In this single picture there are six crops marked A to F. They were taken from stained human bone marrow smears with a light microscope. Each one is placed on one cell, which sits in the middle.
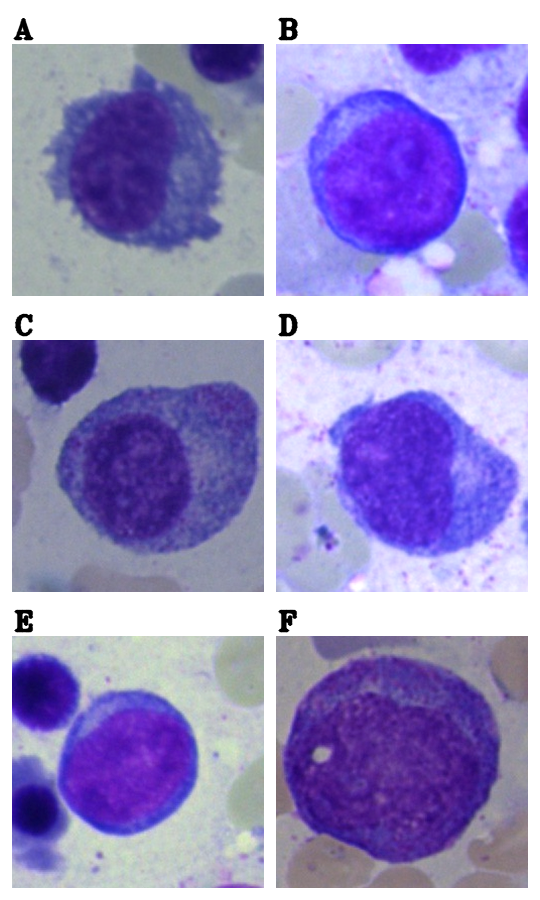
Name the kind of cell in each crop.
A: plasma cell
B: proerythroblast
C: promyelocyte
D: promyelocyte
E: proerythroblast
F: promyelocyte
